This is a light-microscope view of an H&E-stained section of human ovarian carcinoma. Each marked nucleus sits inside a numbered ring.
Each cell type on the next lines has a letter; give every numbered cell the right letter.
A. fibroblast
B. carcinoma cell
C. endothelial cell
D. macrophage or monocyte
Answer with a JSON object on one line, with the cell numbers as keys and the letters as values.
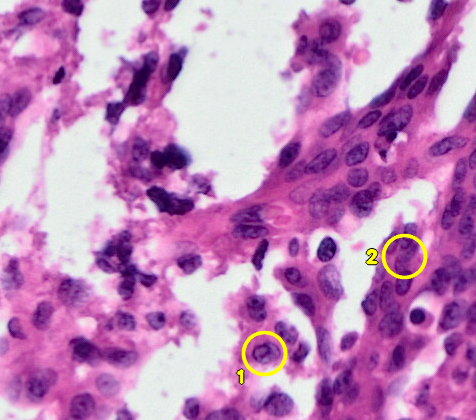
{"1": "D", "2": "B"}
